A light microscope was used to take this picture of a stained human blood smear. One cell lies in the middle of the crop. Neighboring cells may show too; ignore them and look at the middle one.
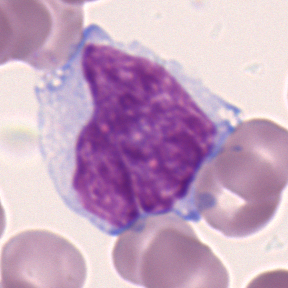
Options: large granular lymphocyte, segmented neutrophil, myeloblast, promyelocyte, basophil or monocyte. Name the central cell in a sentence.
The central cell shown in this smear crop is a myeloblast.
